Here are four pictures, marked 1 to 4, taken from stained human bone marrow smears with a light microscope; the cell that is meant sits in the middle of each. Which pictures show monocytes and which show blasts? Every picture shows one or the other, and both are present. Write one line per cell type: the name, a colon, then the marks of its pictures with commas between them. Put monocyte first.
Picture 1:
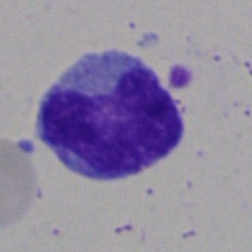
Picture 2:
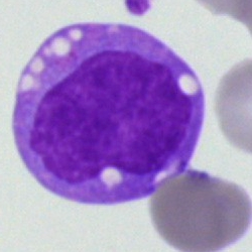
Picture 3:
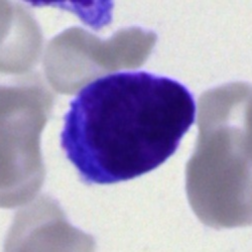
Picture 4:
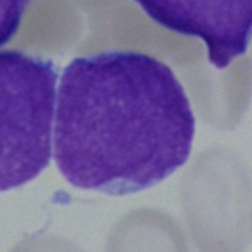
monocyte: 1
blast: 2, 3, 4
